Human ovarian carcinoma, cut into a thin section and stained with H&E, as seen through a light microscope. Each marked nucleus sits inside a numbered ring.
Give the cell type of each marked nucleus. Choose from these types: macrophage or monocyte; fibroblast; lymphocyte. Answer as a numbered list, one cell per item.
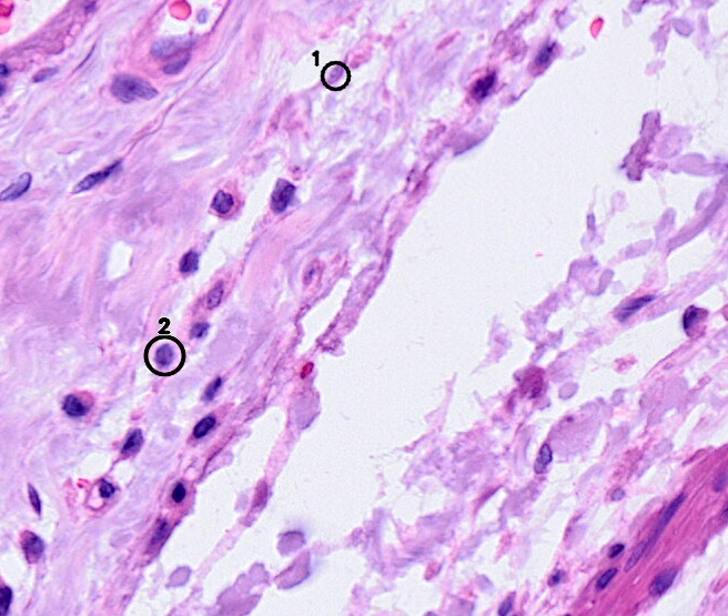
1. fibroblast
2. lymphocyte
